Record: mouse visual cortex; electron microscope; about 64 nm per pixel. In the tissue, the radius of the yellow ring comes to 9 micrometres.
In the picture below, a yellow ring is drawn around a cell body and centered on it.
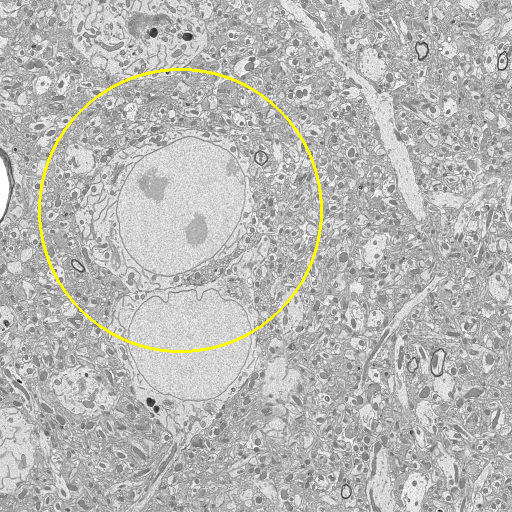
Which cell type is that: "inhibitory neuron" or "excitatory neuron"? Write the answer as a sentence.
The cell centered in the ring is an excitatory neuron.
